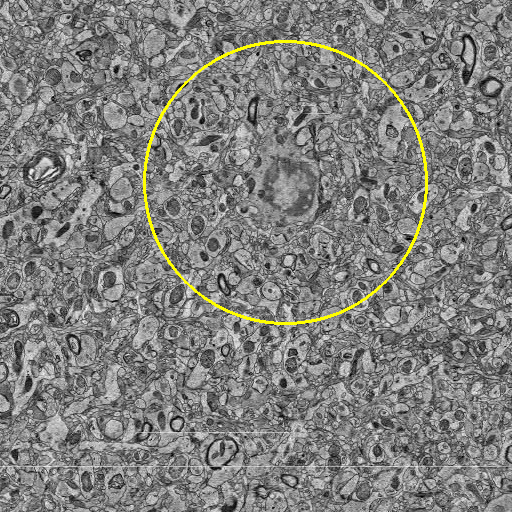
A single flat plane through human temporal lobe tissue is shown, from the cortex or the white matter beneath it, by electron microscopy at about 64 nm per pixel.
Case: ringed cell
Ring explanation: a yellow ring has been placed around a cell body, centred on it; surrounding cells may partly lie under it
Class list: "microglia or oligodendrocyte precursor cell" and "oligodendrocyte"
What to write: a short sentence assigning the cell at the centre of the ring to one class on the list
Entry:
The cell at the ring's centre is an oligodendrocyte.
